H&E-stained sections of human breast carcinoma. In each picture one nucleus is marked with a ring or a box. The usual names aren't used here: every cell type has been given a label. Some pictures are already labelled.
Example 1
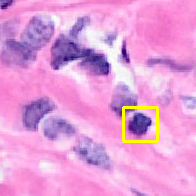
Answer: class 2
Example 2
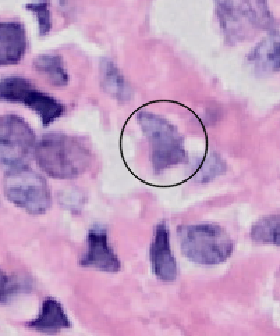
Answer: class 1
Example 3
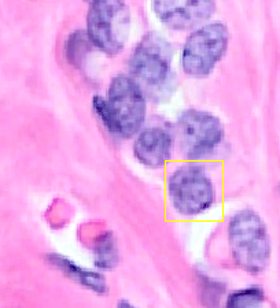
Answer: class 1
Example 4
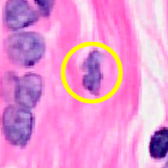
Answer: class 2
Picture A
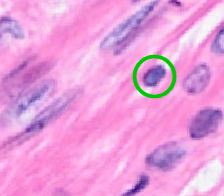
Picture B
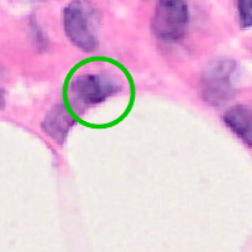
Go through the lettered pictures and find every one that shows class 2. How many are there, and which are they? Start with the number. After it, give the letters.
1: A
